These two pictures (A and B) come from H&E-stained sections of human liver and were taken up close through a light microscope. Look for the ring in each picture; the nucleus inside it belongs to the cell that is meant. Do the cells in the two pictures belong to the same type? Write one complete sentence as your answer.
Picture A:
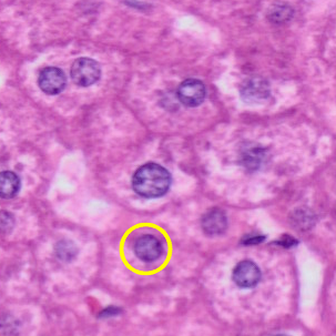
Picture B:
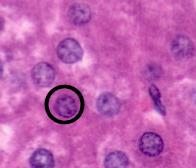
Yes, the two pictures both show hepatocytes.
